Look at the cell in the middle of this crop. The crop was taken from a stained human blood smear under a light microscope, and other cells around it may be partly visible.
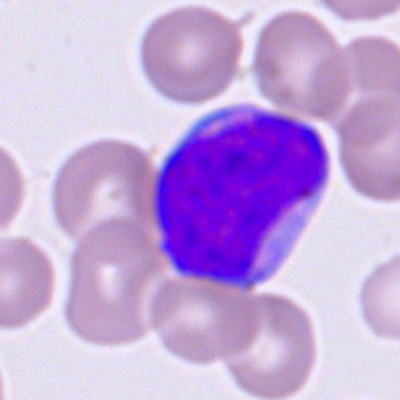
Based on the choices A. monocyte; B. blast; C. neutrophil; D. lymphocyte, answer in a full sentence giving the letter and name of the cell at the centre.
That middle cell is a blast, and option B is therefore correct.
